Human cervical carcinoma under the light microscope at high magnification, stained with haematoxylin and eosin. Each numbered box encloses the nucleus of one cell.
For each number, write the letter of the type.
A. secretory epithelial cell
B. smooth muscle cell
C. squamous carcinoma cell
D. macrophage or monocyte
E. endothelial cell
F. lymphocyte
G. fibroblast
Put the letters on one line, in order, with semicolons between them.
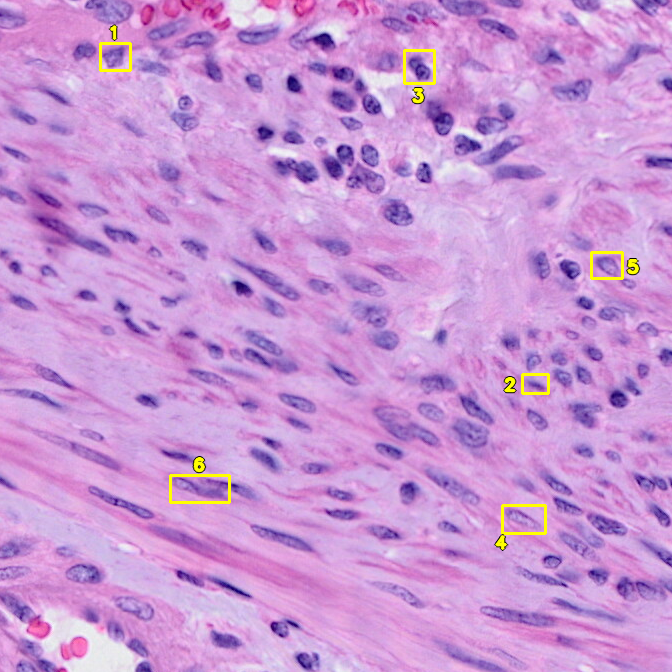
E; B; F; B; B; B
